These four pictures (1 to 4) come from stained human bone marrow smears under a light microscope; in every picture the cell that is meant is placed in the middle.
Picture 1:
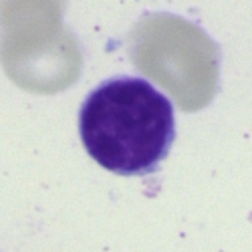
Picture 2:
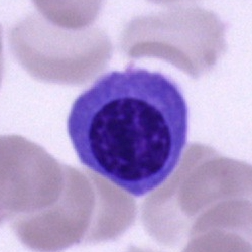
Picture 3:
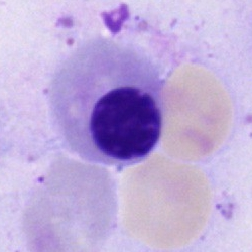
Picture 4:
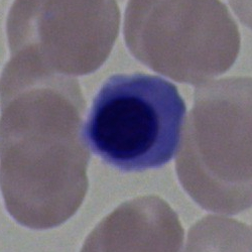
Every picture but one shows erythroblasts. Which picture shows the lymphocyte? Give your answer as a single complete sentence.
Picture 1 is the one that shows the lymphocyte.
